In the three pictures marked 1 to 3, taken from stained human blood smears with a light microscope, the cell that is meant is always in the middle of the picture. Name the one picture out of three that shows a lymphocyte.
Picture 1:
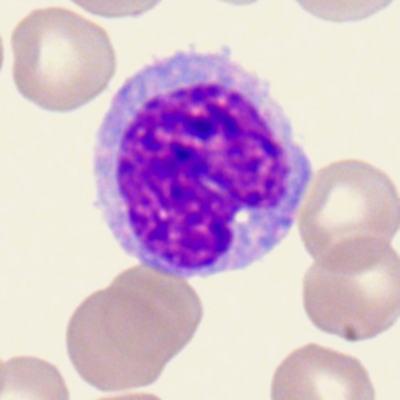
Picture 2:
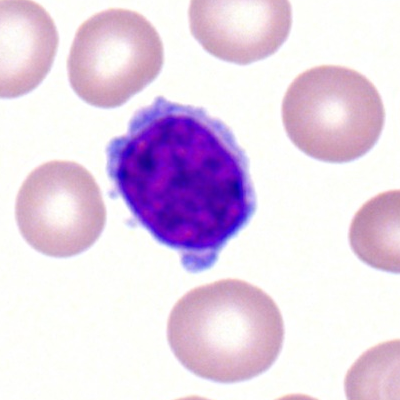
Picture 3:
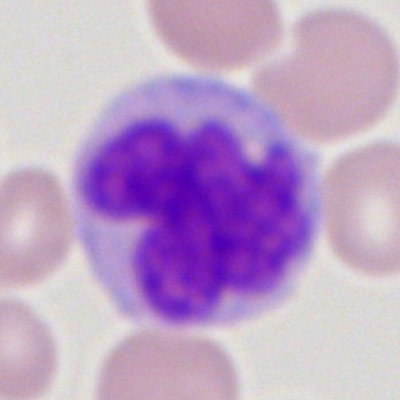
2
